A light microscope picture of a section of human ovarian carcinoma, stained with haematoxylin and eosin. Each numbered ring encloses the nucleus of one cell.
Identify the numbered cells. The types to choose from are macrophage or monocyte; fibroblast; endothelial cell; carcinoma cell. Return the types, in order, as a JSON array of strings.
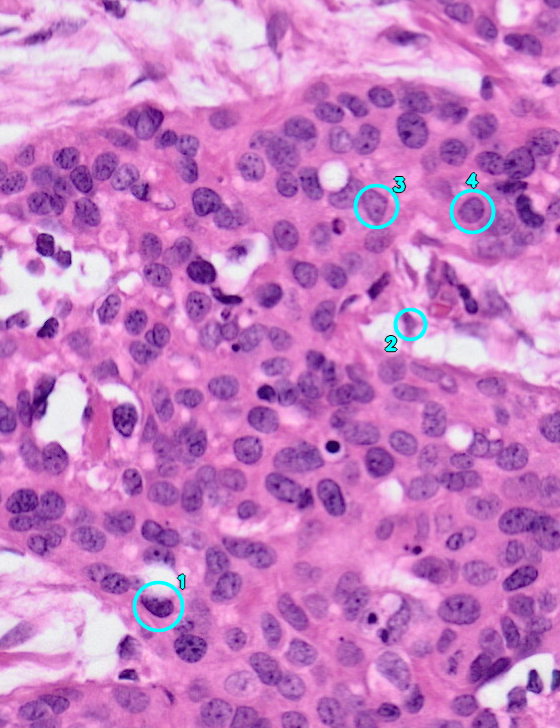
["carcinoma cell", "fibroblast", "carcinoma cell", "carcinoma cell"]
